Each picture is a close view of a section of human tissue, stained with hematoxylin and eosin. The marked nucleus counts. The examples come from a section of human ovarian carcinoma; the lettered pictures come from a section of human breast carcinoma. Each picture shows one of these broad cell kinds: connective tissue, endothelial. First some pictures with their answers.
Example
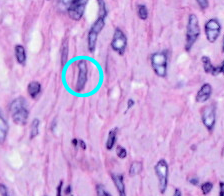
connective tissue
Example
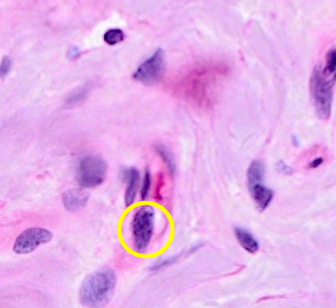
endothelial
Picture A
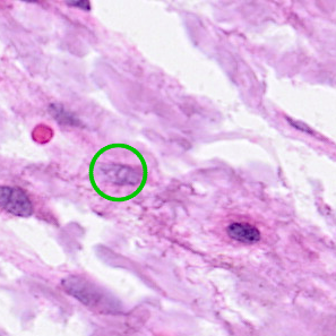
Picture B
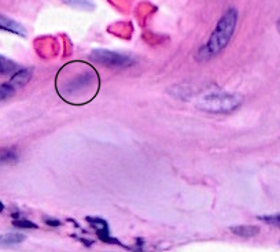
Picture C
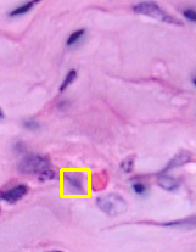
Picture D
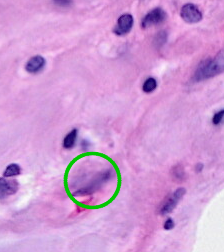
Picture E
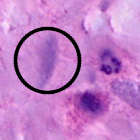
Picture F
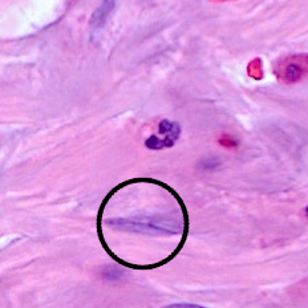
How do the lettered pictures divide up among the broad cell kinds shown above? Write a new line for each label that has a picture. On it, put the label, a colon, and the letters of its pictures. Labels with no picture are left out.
connective tissue: A, E, F
endothelial: B, C, D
